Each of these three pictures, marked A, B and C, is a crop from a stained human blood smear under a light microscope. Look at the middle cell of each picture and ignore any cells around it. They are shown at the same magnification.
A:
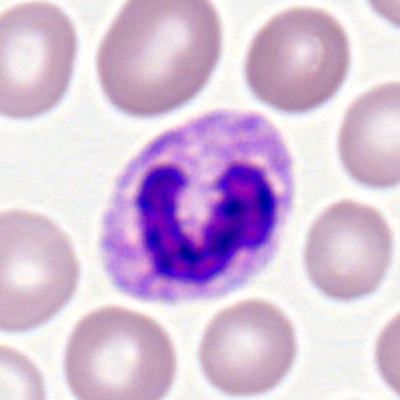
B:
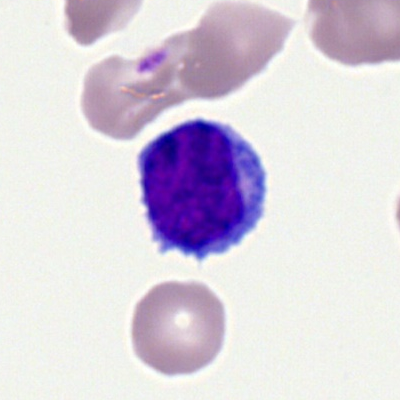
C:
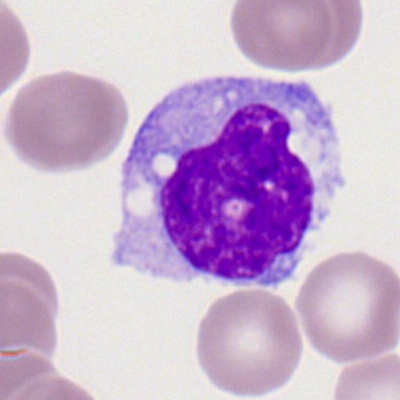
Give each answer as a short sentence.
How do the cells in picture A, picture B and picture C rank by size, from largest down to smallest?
Largest first: C, A, B.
